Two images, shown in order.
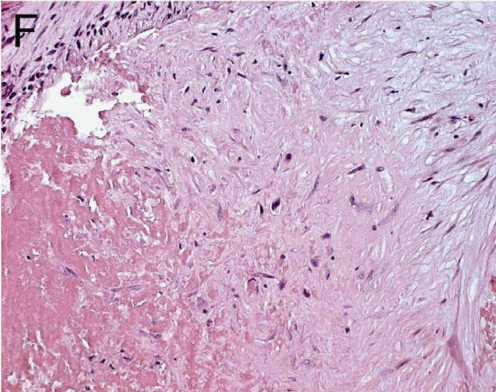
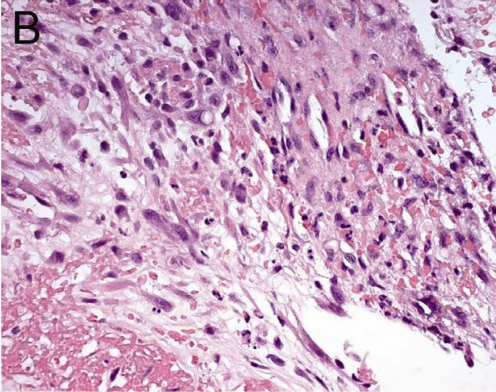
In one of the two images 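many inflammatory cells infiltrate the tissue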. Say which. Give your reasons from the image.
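First image: few nuclei, widely spaced in pale loose stroma.
The second image.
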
